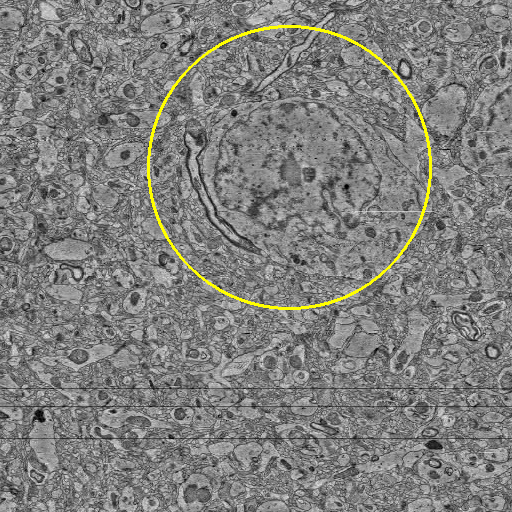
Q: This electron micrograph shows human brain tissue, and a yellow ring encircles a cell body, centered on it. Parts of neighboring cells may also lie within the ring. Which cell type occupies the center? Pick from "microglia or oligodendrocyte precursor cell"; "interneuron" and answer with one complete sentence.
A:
What sits at the ring's center in this micrograph is an interneuron, among those choices.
